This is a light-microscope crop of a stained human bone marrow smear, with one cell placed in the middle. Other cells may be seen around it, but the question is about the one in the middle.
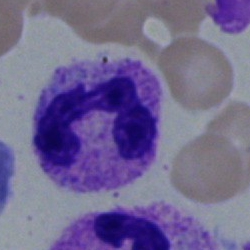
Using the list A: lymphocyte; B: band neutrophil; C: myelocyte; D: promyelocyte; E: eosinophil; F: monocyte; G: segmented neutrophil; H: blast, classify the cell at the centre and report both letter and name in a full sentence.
The central cell, a band neutrophil, is correctly identified by option B.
